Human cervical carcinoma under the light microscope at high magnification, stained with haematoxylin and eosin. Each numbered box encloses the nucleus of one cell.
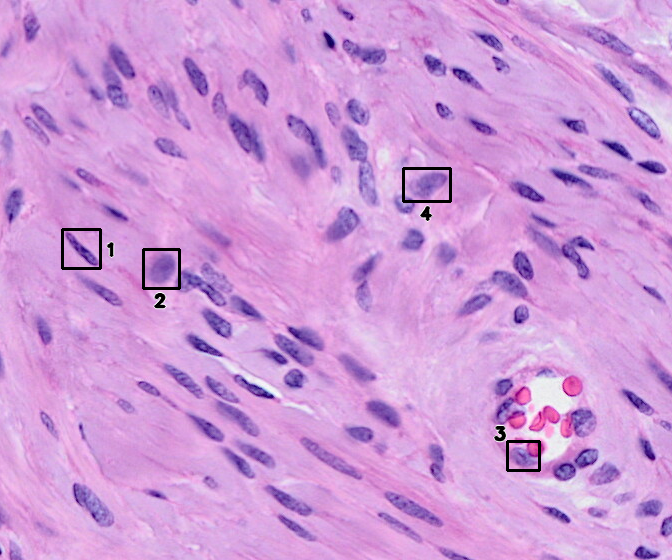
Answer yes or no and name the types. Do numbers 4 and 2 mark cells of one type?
Yes, both are fibroblasts.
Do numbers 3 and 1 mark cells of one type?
No, cell 3 is an endothelial cell and cell 1 is a fibroblast.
